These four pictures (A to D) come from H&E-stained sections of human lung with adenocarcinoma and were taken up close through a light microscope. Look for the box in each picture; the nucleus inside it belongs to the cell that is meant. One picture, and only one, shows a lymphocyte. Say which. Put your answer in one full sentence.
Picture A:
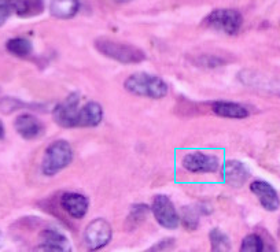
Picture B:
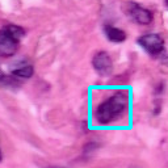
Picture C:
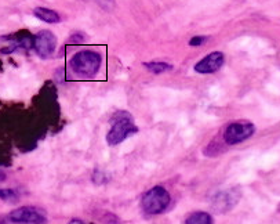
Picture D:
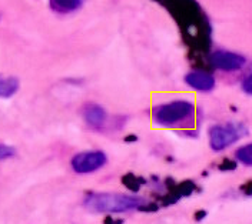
Picture A shows the lymphocyte.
